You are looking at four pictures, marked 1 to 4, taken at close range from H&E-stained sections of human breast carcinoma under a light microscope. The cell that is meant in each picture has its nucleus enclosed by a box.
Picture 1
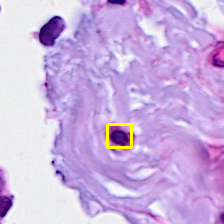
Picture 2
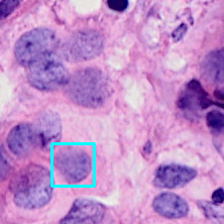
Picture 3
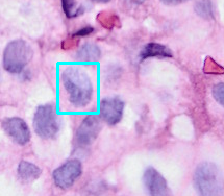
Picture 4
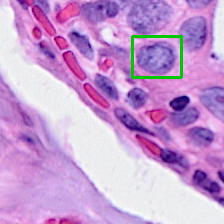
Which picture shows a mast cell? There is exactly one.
1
